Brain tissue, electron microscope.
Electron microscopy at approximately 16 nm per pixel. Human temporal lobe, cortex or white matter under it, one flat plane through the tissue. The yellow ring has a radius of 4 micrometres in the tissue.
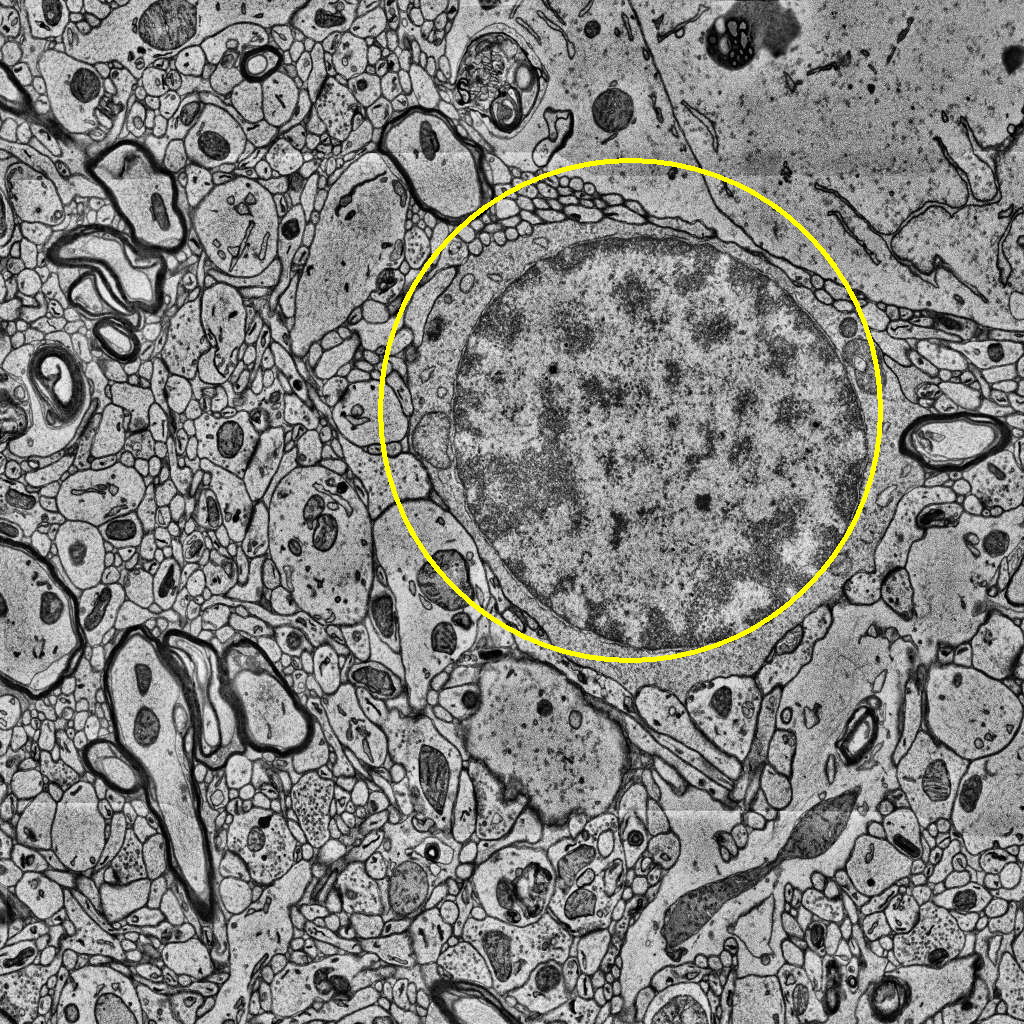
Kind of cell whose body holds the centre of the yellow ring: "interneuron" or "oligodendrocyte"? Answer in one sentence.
The ring's centre falls on an oligodendrocyte.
